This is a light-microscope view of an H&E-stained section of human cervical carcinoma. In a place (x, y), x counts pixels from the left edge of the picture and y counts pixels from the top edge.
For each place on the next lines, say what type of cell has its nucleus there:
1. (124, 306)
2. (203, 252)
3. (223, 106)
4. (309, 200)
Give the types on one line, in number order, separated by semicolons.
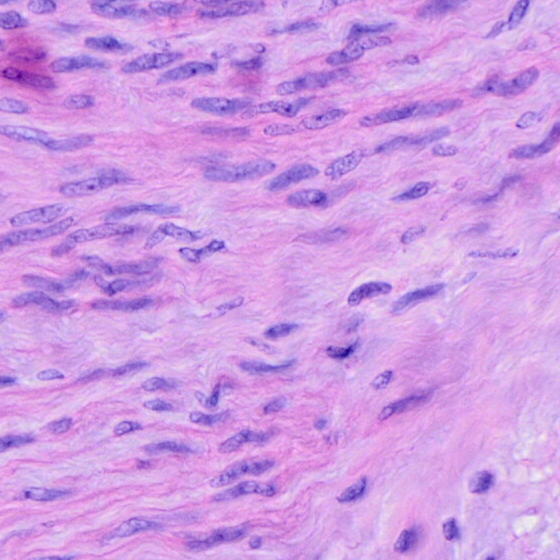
smooth muscle cell; fibroblast; smooth muscle cell; smooth muscle cell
